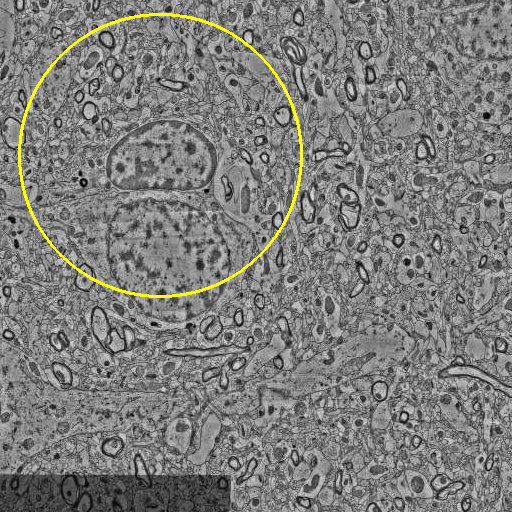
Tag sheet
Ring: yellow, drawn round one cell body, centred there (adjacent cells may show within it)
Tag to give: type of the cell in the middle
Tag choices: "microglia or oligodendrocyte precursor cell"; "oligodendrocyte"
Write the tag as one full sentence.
I tag the cell centred in the yellow ring as a microglial cell or oligodendrocyte precursor cell in this picture.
